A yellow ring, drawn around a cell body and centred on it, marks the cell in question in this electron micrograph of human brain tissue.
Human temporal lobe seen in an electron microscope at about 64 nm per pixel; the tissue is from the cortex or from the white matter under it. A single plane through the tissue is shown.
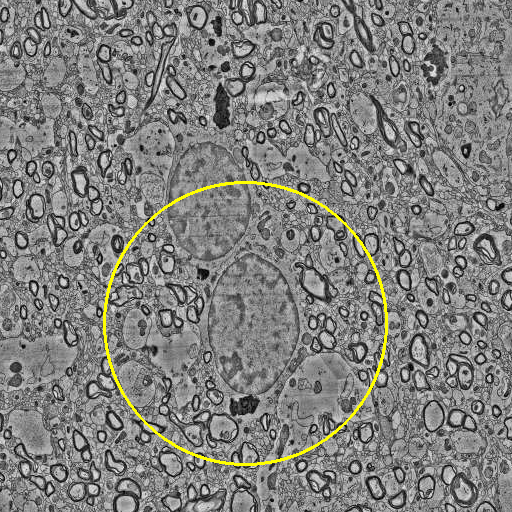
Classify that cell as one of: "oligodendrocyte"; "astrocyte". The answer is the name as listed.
oligodendrocyte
